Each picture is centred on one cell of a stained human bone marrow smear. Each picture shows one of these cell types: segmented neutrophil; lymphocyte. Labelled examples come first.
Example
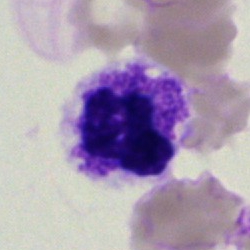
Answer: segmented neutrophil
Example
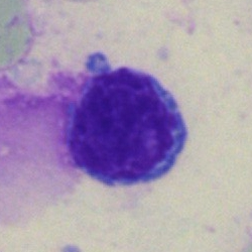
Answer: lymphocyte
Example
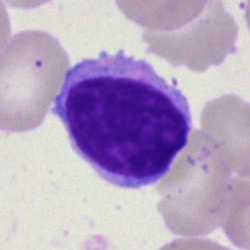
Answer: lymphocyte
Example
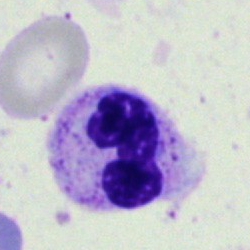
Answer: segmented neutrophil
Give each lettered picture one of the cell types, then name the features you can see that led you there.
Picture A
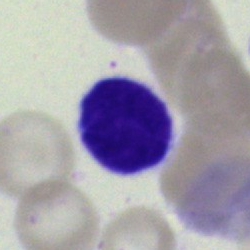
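lymphocyte: Cytoplasm is scant, at most a barely visible thin rim.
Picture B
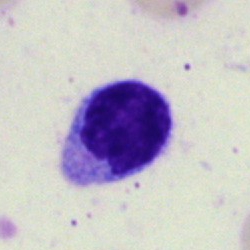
lymphocyte: The nucleus lies toward the upper right and fills most of the cell.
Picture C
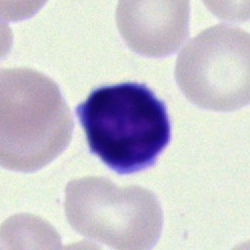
lymphocyte: The nucleus fills almost the whole cell.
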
